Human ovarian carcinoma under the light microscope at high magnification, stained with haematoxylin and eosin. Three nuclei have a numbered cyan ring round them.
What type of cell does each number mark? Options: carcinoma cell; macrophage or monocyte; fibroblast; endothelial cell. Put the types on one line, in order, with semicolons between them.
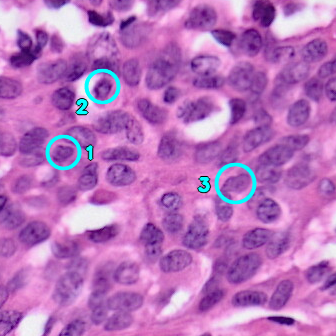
carcinoma cell; macrophage or monocyte; carcinoma cell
